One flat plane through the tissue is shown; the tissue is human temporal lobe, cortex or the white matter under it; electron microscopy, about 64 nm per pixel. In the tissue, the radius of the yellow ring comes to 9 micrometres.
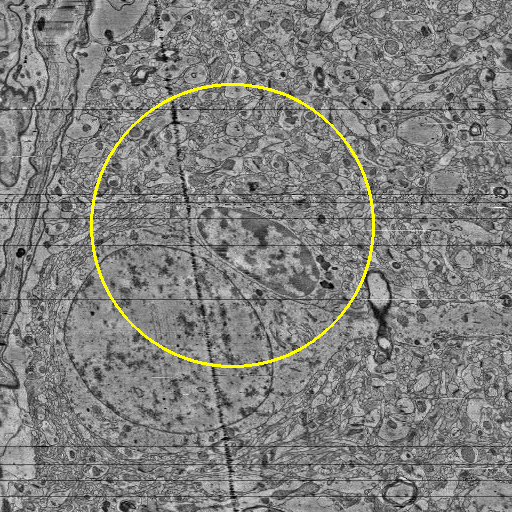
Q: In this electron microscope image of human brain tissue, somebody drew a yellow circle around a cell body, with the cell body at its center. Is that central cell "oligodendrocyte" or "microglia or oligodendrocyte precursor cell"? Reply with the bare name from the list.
microglia or oligodendrocyte precursor cell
